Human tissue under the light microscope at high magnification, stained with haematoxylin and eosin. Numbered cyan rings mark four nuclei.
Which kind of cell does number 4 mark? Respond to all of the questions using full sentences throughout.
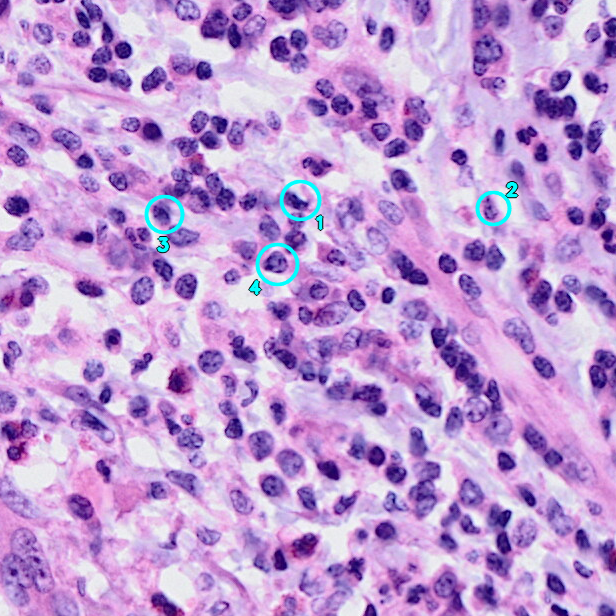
Number 4 is placed on a lymphocyte here.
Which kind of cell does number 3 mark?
In this section, the cell tagged 3 is a lymphocyte.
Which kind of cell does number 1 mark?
The nucleus labelled 1 belongs to a lymphocyte.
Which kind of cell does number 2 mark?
The nucleus with number 2 is that of a macrophage or monocyte.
